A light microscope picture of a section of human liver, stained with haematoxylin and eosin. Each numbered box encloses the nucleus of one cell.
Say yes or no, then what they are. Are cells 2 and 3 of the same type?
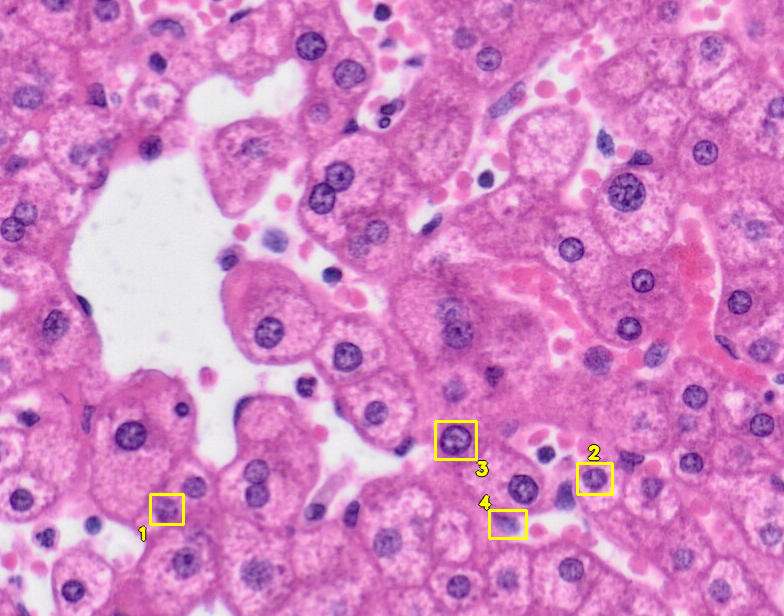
Yes, briefly put, cells 2 and 3 are both hepatocytes.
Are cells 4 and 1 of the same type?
No, while cell 4 is an endothelial cell, cell 1 is a hepatocyte.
